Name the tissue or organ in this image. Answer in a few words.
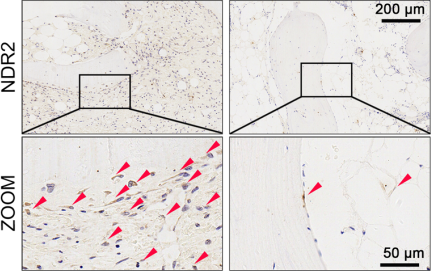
cancellous bone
